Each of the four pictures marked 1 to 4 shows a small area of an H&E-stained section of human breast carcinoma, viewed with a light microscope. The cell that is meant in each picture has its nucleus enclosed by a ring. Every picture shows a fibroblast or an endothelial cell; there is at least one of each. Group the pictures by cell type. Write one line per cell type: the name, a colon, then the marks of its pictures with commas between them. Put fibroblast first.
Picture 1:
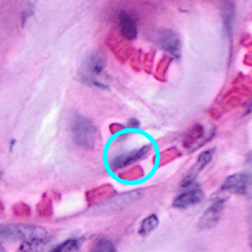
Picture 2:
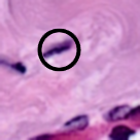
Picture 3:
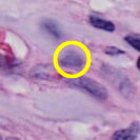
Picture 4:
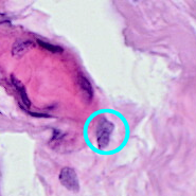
fibroblast: 2, 4
endothelial cell: 1, 3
